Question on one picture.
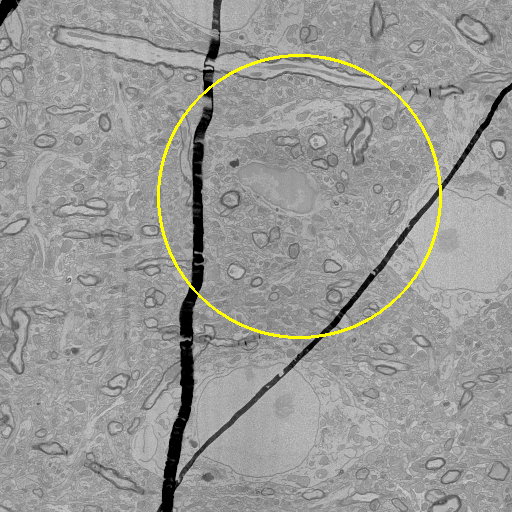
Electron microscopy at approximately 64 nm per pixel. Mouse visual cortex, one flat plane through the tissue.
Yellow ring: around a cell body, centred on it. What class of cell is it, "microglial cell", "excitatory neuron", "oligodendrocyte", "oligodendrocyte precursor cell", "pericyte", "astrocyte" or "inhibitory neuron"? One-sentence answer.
This is a microglial cell, the cell the ring is centred on.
